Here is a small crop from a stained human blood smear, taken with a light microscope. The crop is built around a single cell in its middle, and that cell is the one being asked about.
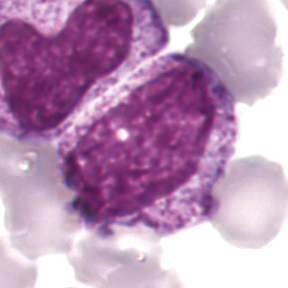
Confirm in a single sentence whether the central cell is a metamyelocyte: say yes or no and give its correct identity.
No, the centrally placed cell is a myelocyte, not a metamyelocyte.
